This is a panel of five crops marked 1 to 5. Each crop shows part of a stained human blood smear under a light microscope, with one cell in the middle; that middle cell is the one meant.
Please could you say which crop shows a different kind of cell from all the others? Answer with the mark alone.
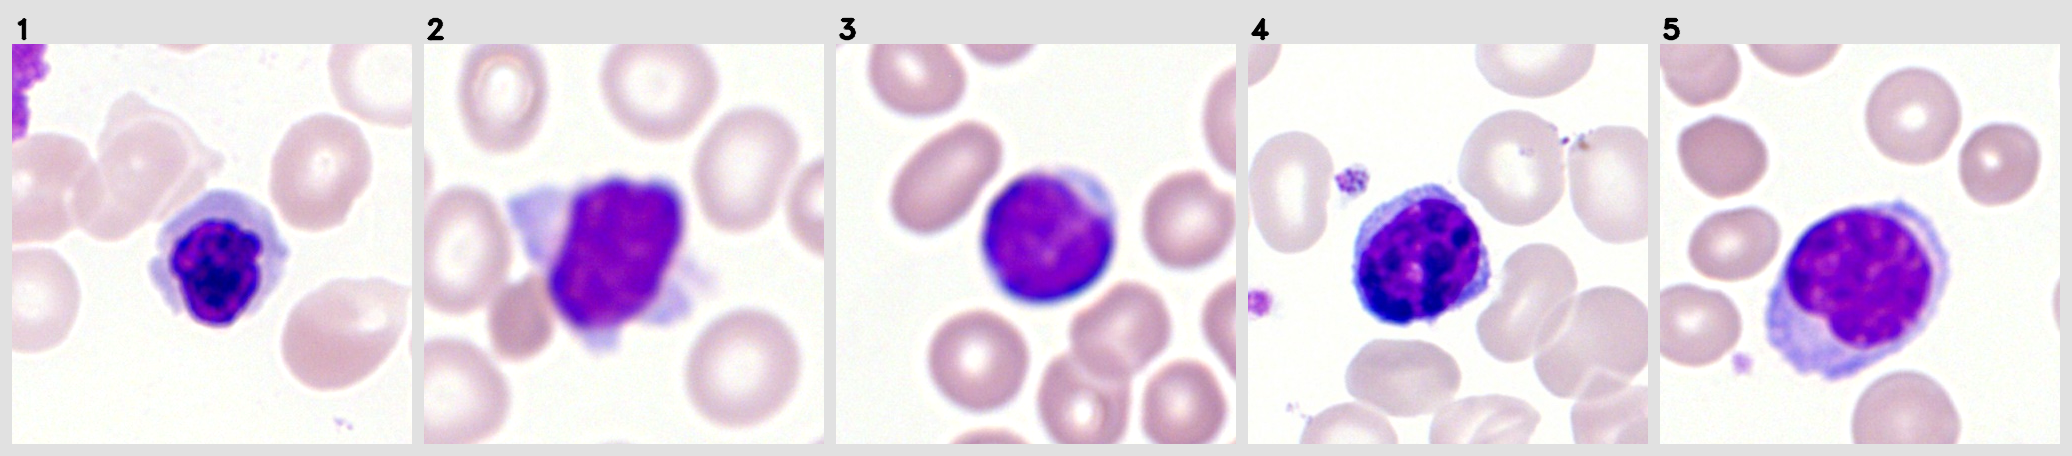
1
